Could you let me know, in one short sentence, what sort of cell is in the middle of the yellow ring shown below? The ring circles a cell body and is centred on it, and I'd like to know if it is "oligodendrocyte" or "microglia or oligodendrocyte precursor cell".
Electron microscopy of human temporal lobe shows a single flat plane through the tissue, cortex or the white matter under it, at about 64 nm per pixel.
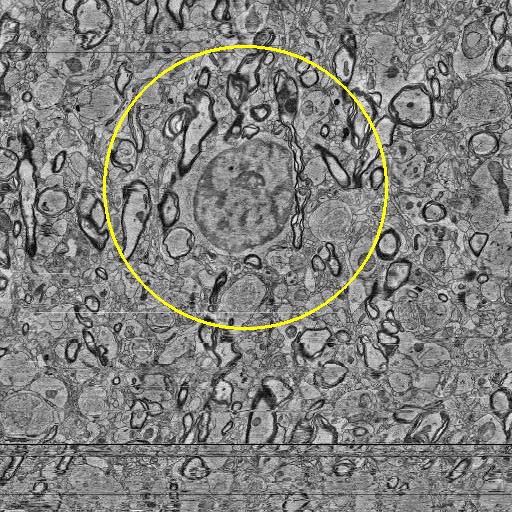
The ring circles the cell body of an oligodendrocyte.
